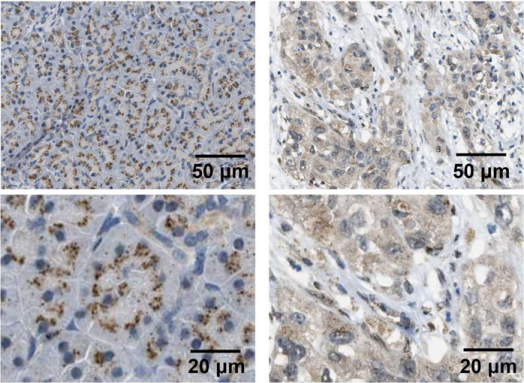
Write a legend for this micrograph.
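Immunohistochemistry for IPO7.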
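On the left is normal pancreatic tissue. Its cells are packed in small rounded groups with blue nuclei toward the outside, and coarse brown granules gather toward the centre of each group. On the right is tumor tissue.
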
